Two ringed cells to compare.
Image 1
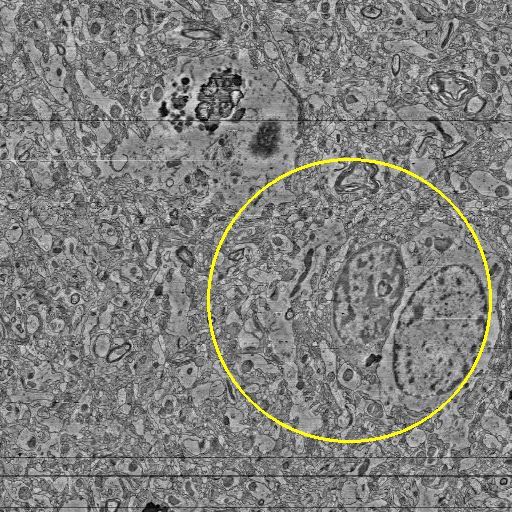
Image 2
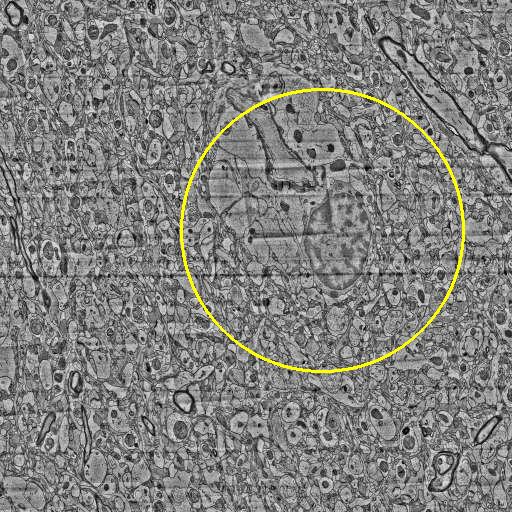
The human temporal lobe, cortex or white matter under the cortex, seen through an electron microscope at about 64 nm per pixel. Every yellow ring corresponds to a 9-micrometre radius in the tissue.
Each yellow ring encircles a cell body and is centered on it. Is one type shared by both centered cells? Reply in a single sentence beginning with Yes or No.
Yes, a single type is shared by the two cells at the centers of the rings.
